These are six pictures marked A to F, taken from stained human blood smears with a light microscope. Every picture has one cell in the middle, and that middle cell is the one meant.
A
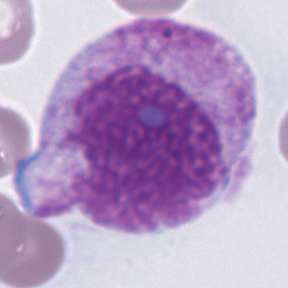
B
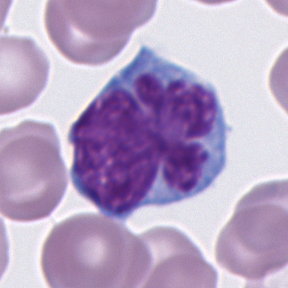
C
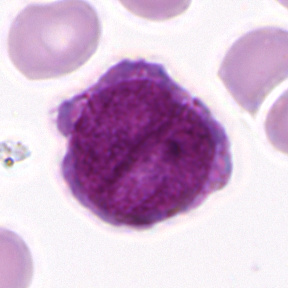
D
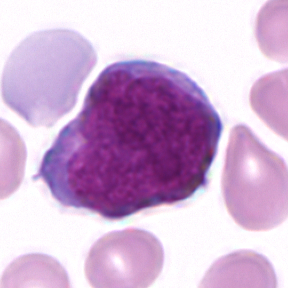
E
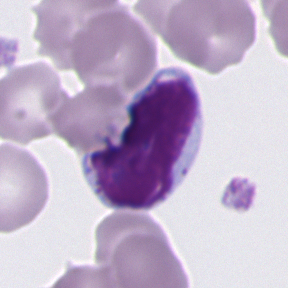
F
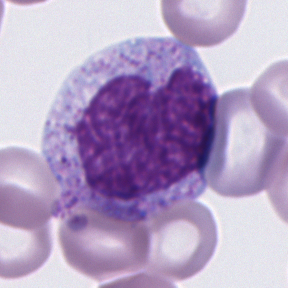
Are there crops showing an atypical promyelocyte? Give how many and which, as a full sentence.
Crops showing atypical promyelocytes: three in all, namely A, C and D.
